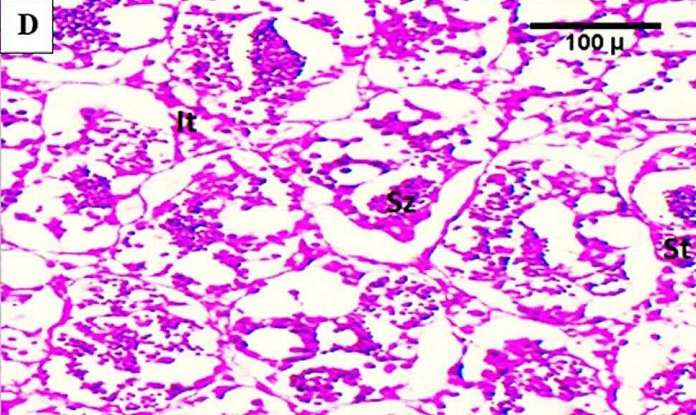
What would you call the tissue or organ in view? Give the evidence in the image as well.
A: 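Rounded compartments separated by thin pink walls fill the section. Many compartments hold dense clusters of small dark dot-like cells. Thin strands of tissue lie between the compartments.
Testis.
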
